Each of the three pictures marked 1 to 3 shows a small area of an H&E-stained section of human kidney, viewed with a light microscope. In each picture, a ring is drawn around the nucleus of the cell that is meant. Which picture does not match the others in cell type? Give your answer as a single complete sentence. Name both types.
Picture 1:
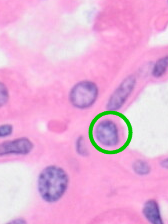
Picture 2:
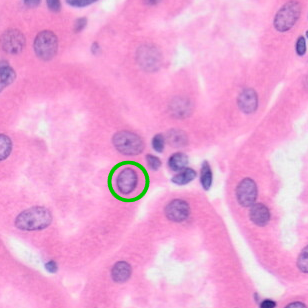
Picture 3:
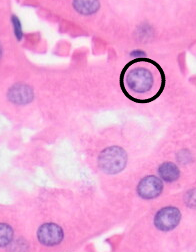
Picture 1 is the odd one out: it shows a collecting duct cell, while the others show proximal tubule cells.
